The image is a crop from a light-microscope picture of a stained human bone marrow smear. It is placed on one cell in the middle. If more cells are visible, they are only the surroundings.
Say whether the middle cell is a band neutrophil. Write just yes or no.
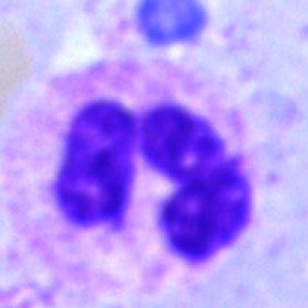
no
